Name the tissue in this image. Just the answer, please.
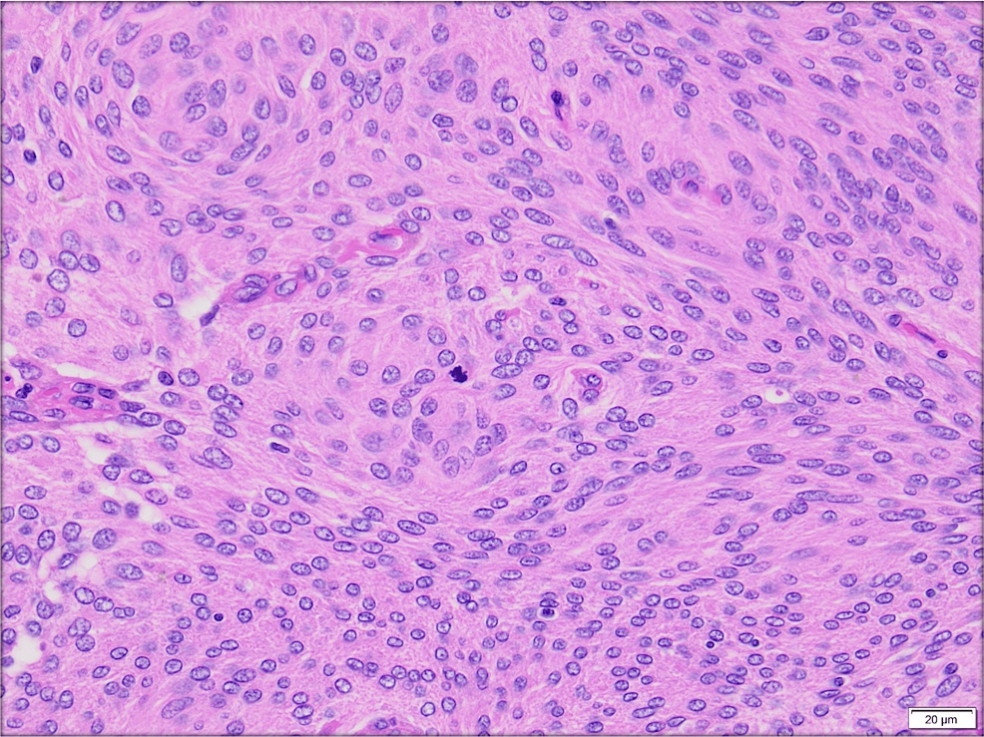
Meningioma.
